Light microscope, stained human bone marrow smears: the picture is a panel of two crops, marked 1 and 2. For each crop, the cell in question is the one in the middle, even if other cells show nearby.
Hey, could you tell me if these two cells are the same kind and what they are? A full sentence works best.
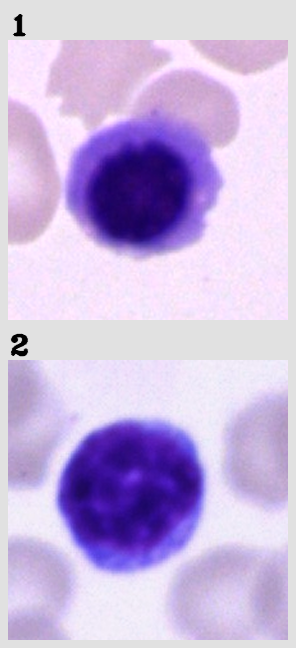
No, the labels go like this: crop 1 is an erythroblast and crop 2 is a lymphocyte.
